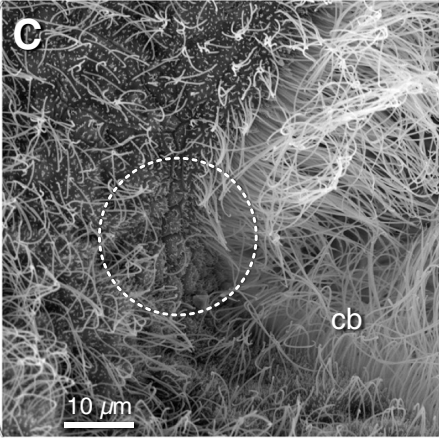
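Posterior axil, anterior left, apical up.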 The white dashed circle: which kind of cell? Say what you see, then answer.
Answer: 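Inside the circle lies a patch of small cell outlines. The patch has fewer long cilia than the dense band to its right. On this evidence: small, apparently non-ciliated cells.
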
